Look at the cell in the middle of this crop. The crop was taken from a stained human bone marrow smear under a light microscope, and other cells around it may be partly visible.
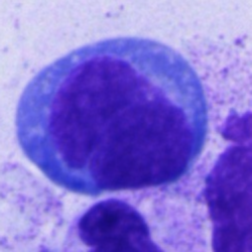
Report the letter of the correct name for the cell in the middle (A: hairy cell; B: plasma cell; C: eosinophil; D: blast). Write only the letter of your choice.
D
